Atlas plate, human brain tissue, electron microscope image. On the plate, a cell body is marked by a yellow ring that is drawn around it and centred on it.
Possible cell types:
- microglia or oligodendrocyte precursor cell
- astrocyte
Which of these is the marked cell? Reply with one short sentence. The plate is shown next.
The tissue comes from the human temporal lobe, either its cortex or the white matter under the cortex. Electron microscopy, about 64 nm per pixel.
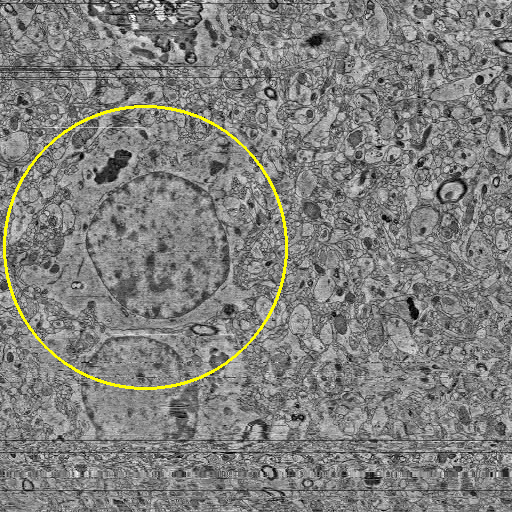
The marked cell is an astrocyte.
